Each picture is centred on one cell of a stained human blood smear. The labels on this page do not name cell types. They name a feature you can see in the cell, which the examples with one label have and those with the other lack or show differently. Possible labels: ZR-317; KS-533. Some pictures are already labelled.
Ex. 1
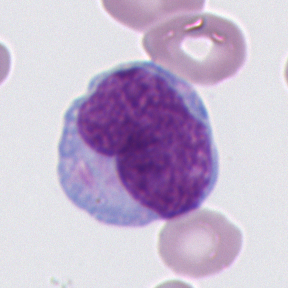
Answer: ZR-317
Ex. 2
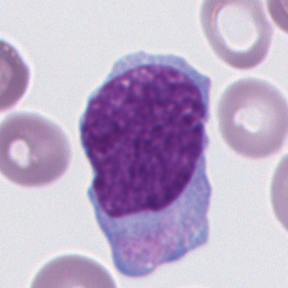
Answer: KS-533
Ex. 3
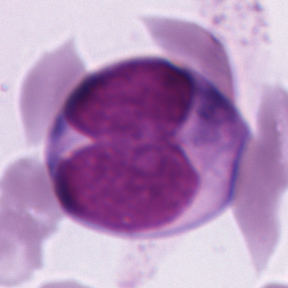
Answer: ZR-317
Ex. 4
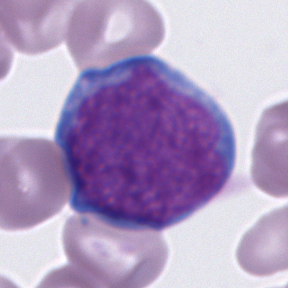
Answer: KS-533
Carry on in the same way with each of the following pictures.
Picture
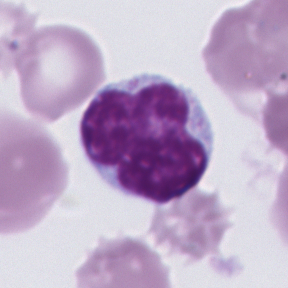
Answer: ZR-317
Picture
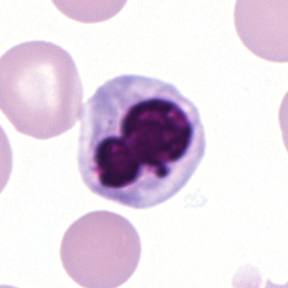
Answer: ZR-317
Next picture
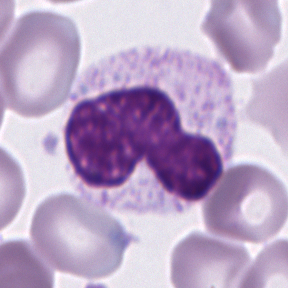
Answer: ZR-317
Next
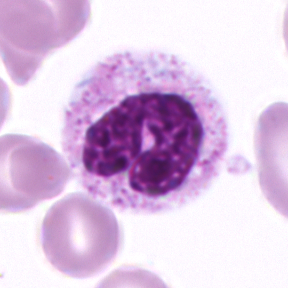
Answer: ZR-317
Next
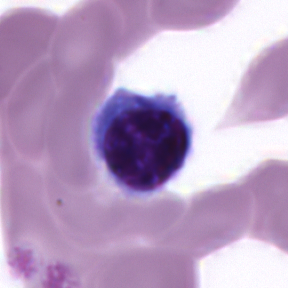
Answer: KS-533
